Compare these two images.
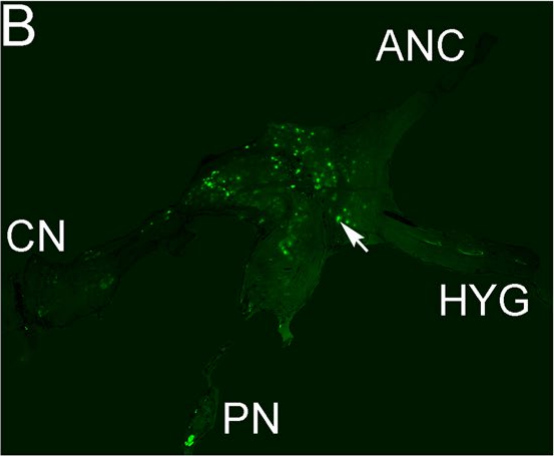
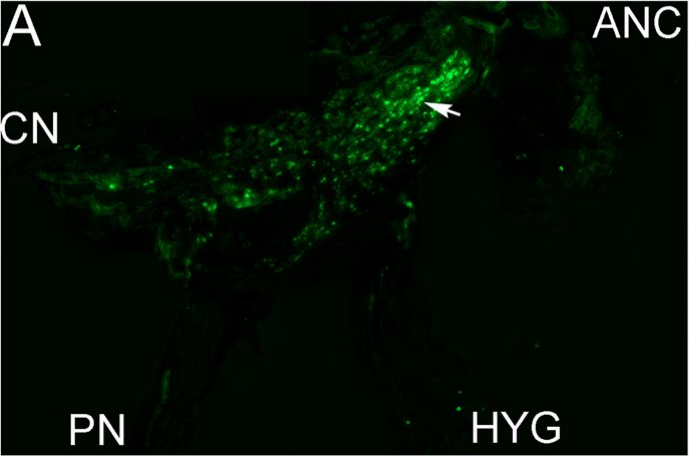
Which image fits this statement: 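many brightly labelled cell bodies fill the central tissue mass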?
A: The second image.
